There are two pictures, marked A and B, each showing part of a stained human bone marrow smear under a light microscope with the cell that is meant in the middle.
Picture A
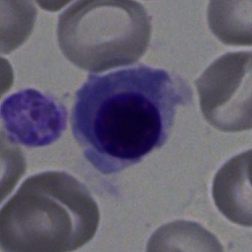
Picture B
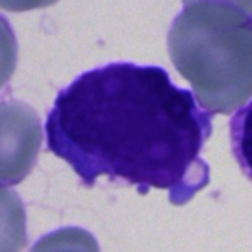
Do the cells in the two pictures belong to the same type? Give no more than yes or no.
no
